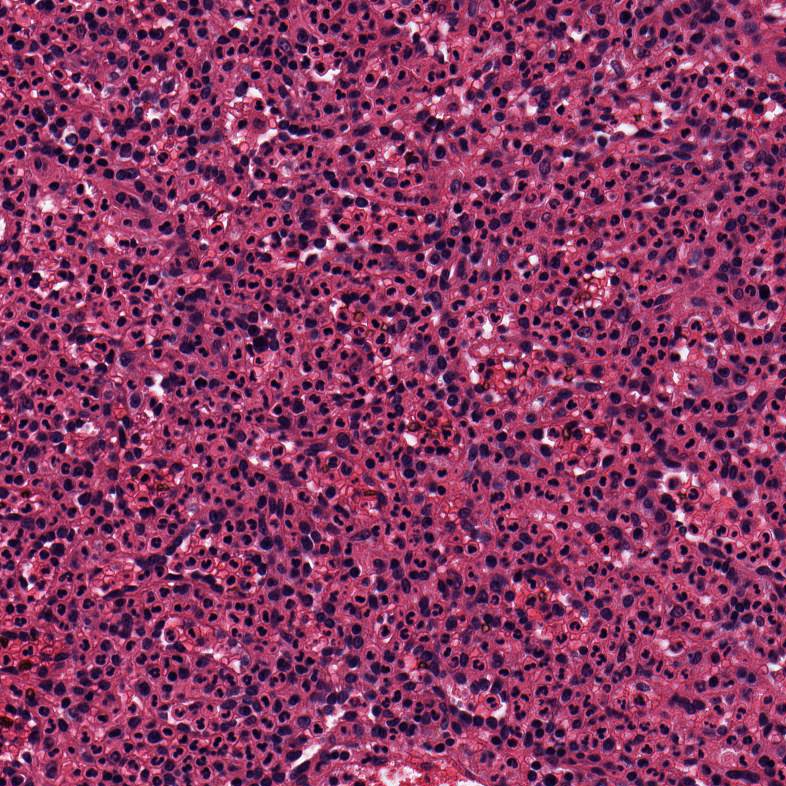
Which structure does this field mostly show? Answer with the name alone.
red pulp of the spleen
